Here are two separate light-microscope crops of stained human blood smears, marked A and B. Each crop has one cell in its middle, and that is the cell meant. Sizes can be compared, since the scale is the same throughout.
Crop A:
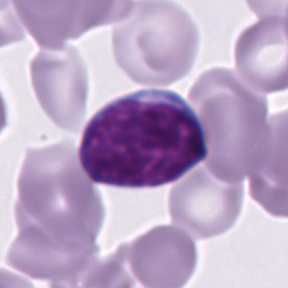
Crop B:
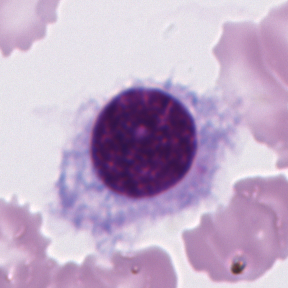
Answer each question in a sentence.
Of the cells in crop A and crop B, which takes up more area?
The cell in crop B is larger, with about 1.5 times the area of the one in crop A.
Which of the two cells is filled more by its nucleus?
The nucleus fills more of the cell in crop A than in crop B.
